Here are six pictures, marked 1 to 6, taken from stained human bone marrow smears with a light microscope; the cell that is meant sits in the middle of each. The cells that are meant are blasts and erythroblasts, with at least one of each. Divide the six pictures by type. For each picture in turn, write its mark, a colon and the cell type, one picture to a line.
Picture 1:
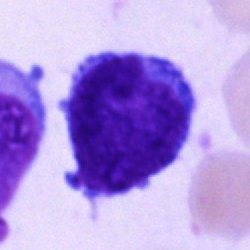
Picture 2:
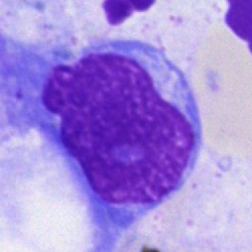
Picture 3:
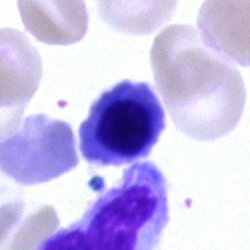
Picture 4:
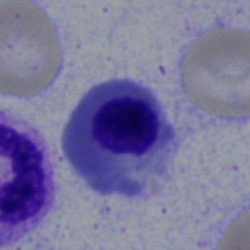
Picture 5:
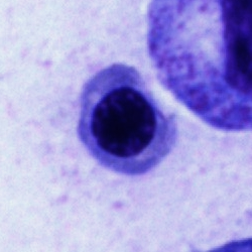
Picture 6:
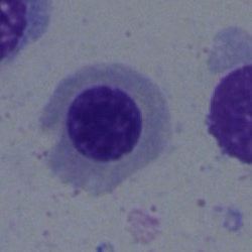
1: blast
2: blast
3: erythroblast
4: erythroblast
5: erythroblast
6: erythroblast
